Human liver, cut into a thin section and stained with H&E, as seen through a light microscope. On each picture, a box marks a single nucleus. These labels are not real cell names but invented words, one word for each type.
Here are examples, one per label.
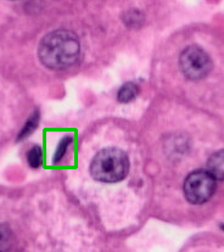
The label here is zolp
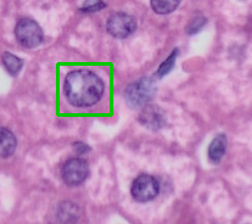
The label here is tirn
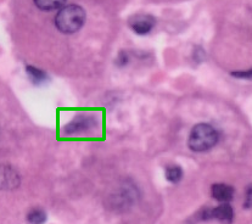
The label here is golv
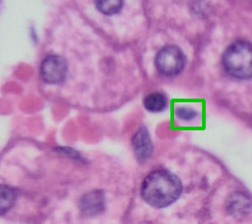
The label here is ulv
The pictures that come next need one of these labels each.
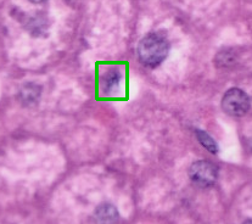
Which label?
zolp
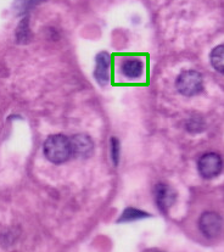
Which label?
ulv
